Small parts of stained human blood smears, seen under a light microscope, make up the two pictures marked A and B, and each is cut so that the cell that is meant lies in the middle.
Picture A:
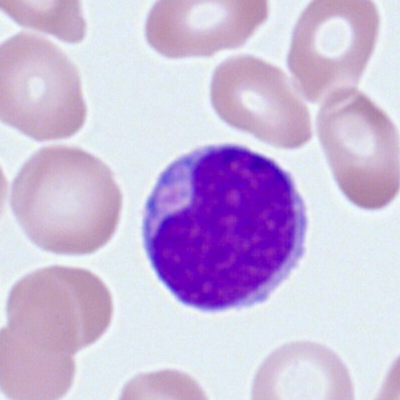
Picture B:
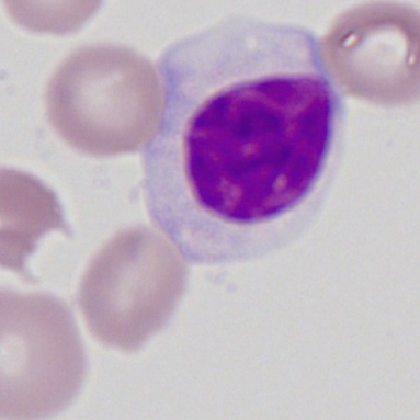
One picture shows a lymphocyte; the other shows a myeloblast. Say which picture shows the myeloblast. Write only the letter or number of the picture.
A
